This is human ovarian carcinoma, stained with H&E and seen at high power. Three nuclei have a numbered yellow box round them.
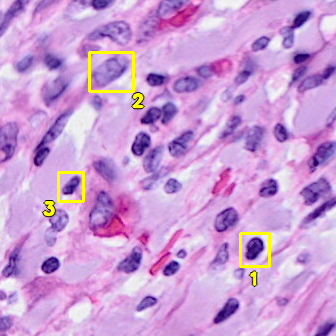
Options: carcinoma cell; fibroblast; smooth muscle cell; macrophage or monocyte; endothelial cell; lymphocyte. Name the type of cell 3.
lymphocyte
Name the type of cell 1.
lymphocyte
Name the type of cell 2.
fibroblast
